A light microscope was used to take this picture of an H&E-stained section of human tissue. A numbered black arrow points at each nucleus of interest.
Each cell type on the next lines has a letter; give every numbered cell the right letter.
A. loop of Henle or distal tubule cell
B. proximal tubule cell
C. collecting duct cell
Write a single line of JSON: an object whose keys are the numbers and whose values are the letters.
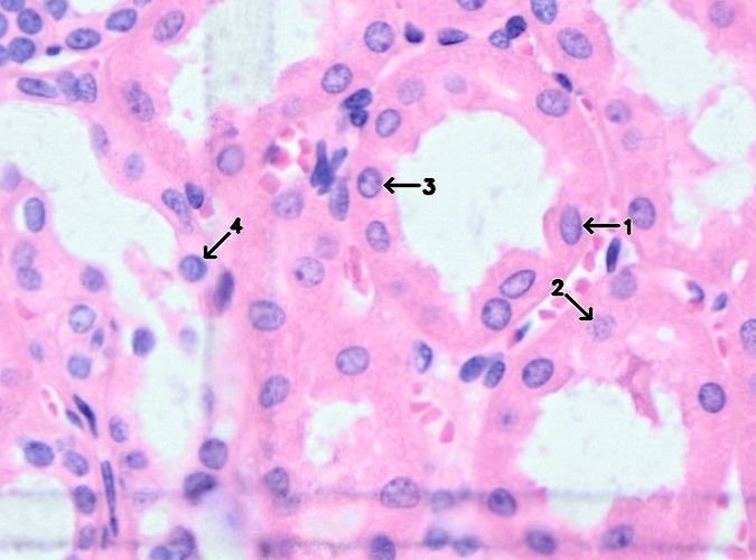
{"1": "B", "2": "B", "3": "B", "4": "C"}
